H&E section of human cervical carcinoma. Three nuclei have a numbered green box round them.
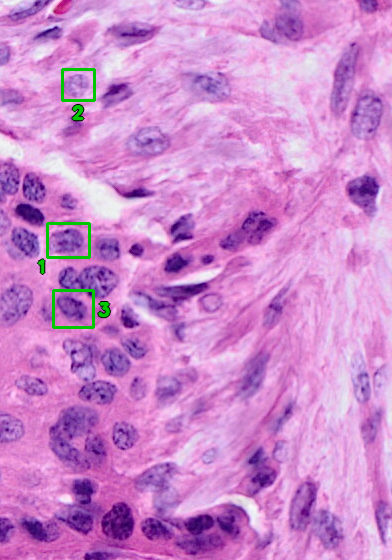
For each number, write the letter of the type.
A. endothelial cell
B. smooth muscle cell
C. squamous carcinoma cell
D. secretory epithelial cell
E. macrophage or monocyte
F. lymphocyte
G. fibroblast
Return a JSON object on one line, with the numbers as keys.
{"1": "C", "2": "G", "3": "C"}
